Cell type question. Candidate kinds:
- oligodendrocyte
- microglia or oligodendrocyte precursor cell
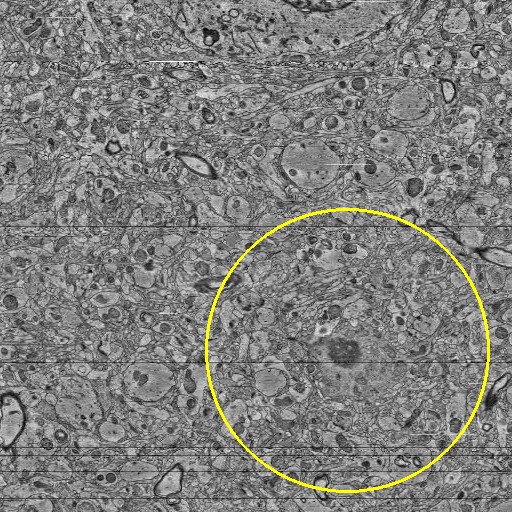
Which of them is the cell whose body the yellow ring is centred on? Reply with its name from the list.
oligodendrocyte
